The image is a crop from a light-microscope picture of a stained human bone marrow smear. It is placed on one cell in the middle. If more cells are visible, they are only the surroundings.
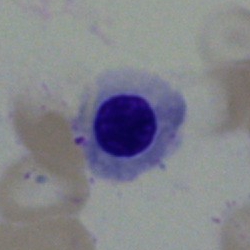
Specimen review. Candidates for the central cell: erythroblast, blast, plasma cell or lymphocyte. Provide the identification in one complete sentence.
The cell under consideration, at the middle of the crop, is an erythroblast.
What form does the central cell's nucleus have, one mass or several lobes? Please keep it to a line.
A single compact nucleus is present, shaped round, oval or like a kidney.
